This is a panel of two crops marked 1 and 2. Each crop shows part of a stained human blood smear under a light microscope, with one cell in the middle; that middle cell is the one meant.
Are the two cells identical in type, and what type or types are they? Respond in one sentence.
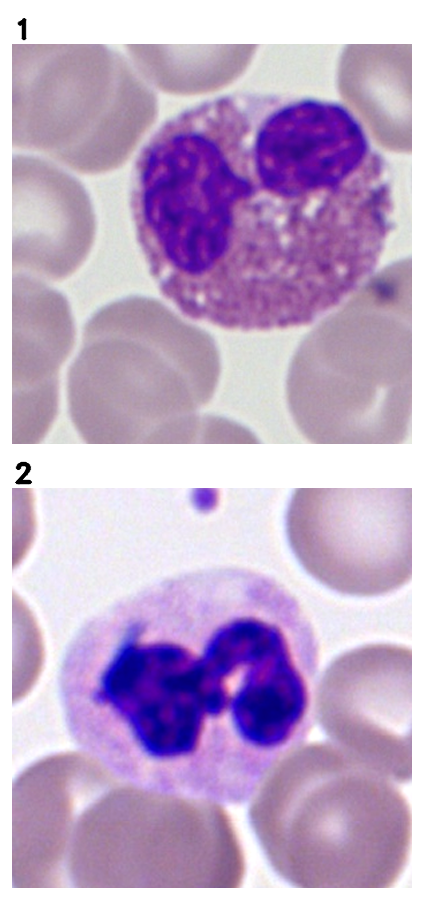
No, it is an eosinophil that crop 1 shows, and a neutrophil that crop 2 shows.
